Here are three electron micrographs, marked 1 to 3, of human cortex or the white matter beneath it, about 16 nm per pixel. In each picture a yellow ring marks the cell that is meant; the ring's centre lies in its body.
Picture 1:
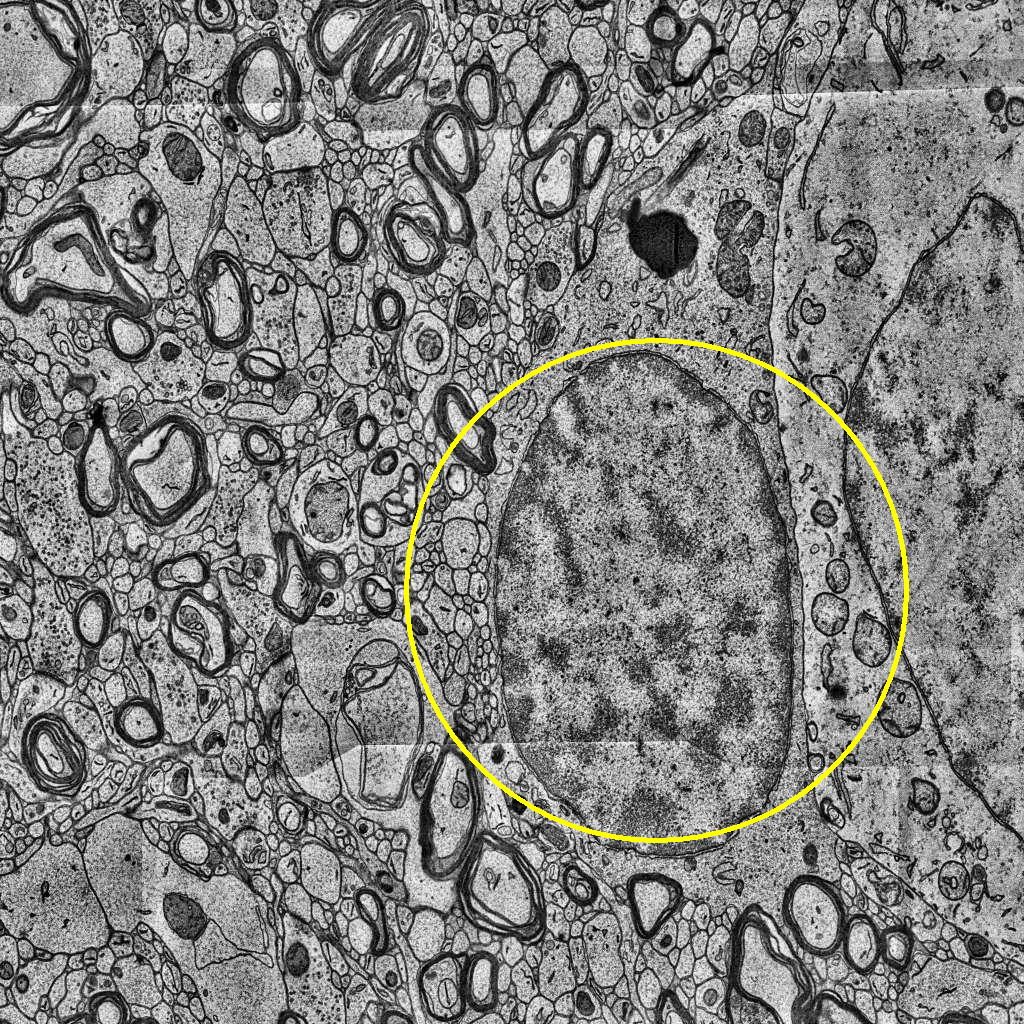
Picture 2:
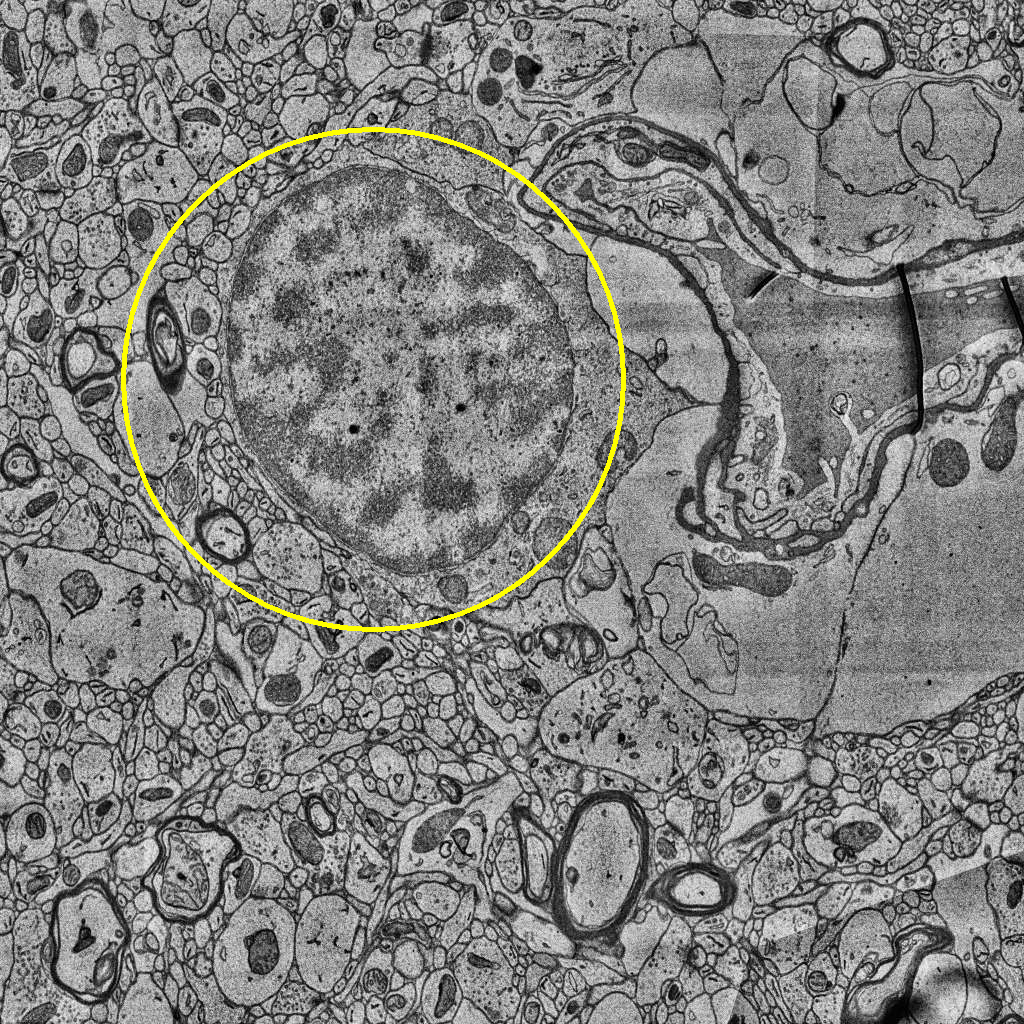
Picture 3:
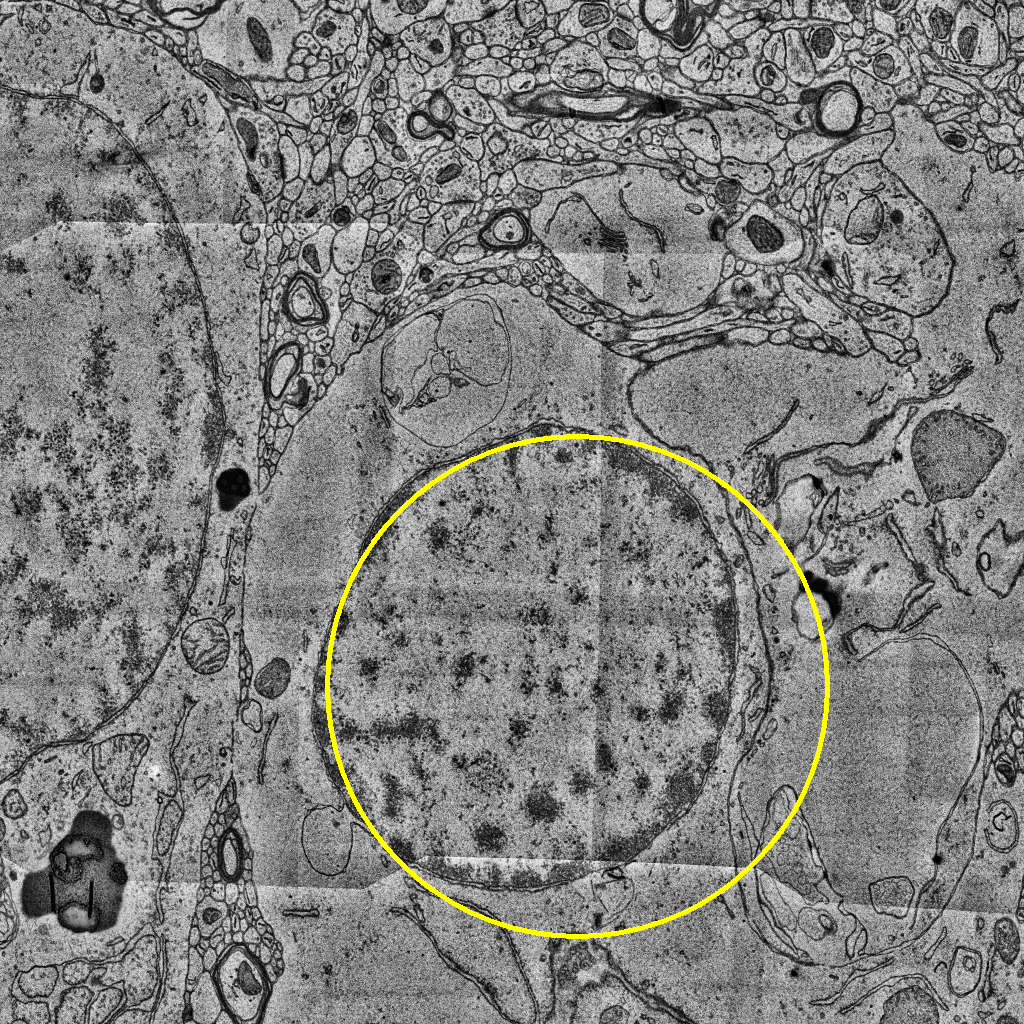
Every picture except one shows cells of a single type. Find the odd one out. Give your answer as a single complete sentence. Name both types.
All pictures except 3 show oligodendrocytes; picture 3 shows an astrocyte.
